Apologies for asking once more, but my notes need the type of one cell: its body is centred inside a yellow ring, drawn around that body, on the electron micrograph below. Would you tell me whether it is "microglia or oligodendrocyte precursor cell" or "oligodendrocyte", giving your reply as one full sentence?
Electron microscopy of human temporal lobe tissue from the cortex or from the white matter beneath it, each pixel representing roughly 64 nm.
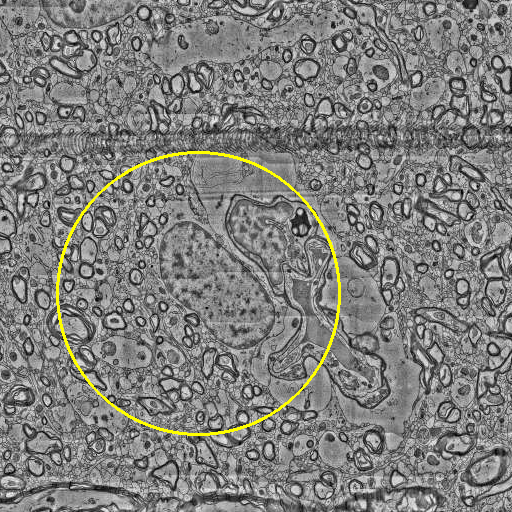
The cell that the yellow ring is centred on is a microglial cell or oligodendrocyte precursor cell in this micrograph.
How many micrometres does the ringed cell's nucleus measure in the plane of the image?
The nucleus of the ringed cell is clearly longer than it is wide in this plane, about 9 by 5 micrometres.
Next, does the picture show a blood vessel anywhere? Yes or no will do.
Yes, the image shows a blood vessel.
